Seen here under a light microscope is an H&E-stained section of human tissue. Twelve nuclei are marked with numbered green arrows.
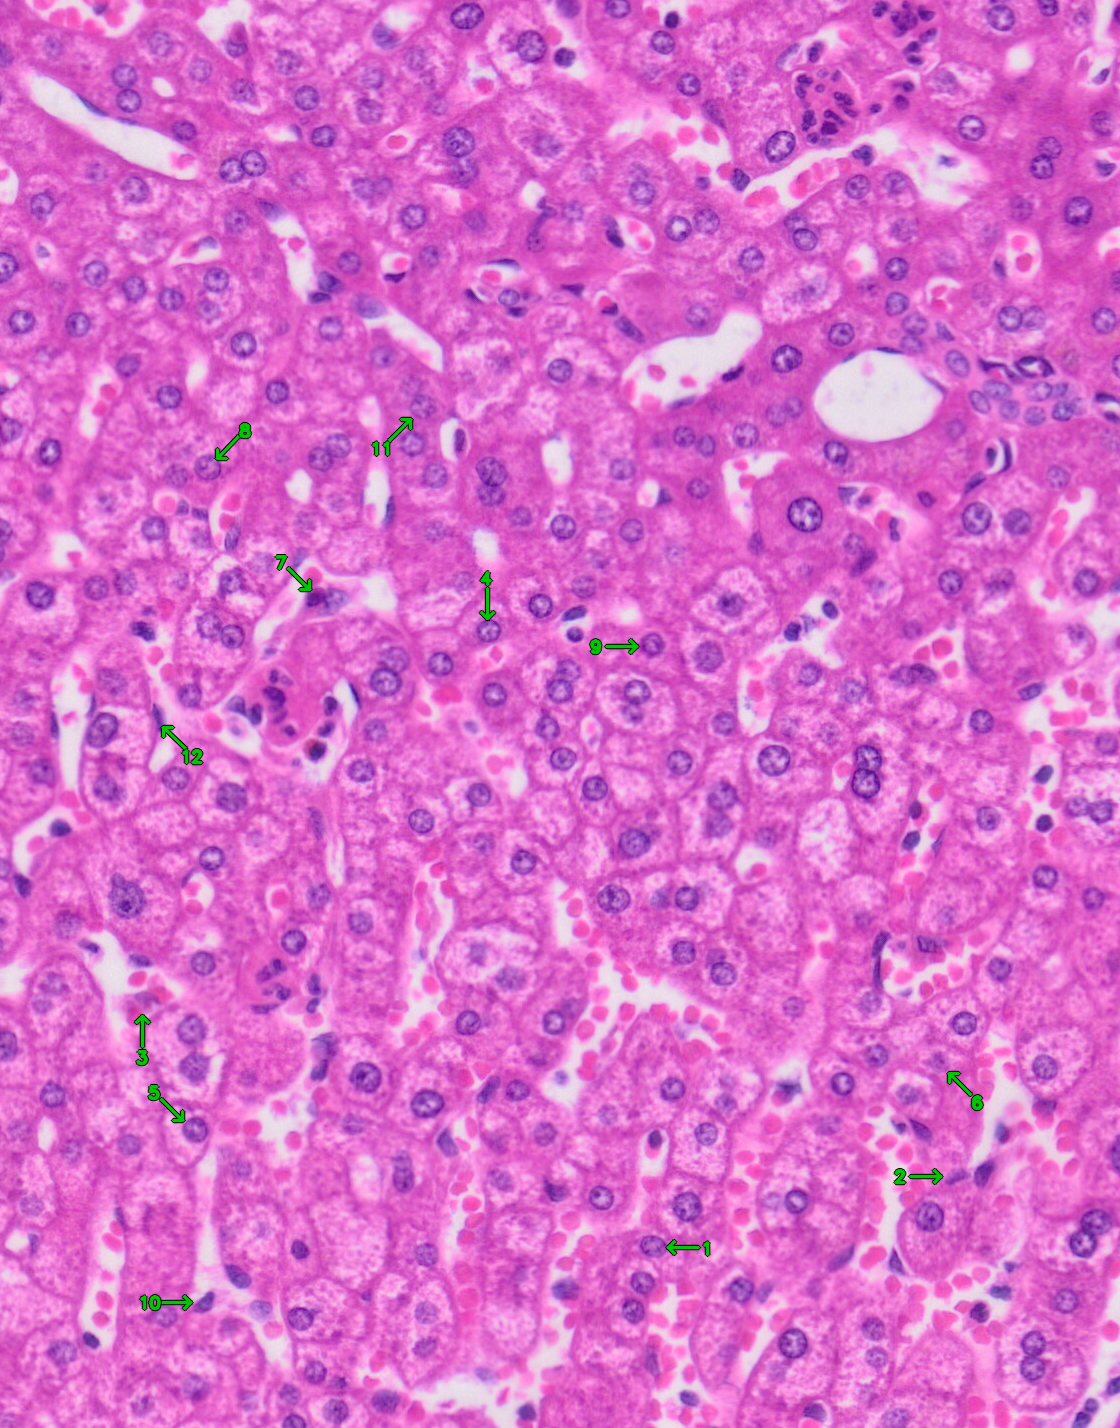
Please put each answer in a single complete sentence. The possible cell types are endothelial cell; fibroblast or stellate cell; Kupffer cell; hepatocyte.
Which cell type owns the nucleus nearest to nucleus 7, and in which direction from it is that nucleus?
The nearest nucleus is that of an endothelial cell and lies above and to the left of nucleus 7.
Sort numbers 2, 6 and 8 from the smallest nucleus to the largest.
The order from the smallest nucleus to the largest is 2, 6, 8.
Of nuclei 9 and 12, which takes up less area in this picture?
The smaller nucleus is 12, and 9 covers roughly 2 times its area.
